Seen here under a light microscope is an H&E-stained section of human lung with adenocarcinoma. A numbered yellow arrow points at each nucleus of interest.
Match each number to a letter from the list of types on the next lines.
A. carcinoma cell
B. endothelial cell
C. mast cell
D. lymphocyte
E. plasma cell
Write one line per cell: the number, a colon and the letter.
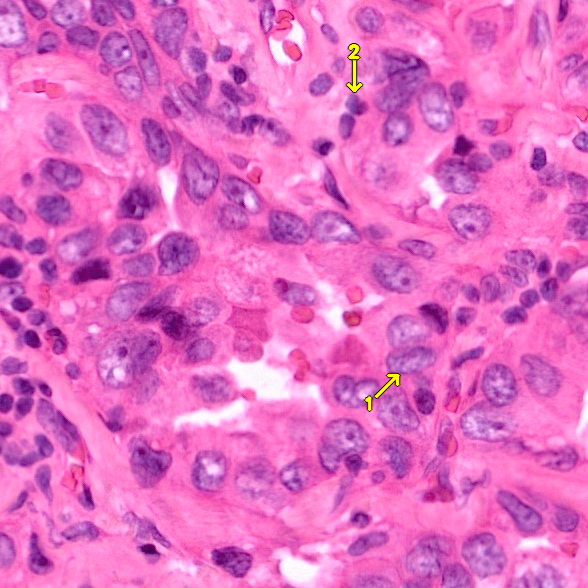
1: A
2: D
